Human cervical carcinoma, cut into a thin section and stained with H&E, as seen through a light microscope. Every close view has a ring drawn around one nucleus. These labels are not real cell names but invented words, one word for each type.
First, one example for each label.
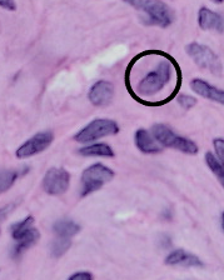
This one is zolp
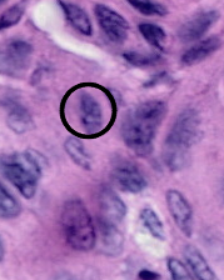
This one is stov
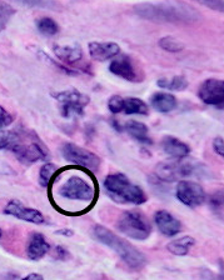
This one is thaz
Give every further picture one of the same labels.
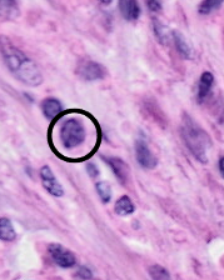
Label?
thaz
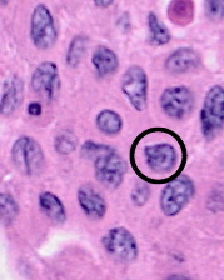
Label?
stov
